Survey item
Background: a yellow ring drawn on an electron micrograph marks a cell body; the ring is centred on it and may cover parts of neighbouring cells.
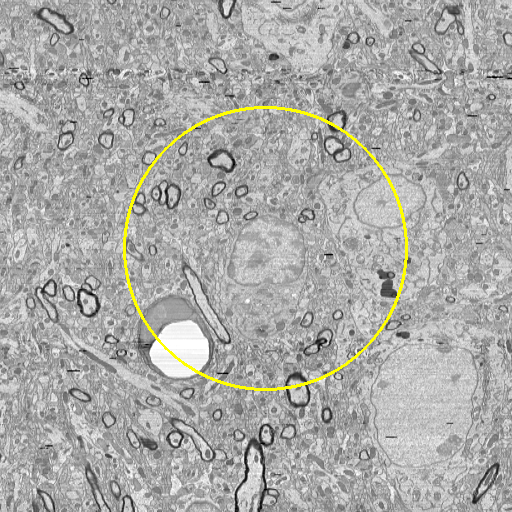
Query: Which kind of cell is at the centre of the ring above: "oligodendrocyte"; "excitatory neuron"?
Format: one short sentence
The cell in the middle of the ring is an oligodendrocyte.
